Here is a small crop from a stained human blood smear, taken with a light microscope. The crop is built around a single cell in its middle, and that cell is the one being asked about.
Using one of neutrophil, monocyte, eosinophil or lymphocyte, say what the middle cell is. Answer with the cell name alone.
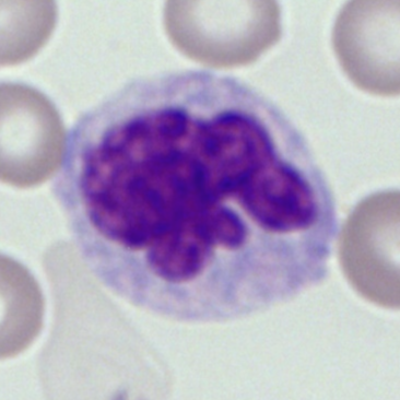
monocyte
